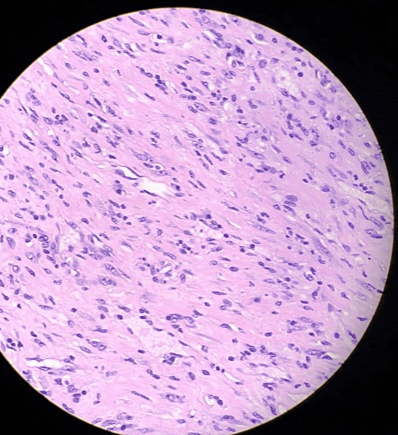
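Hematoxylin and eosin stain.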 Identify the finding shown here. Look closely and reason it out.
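Elongated cells run in parallel bundles in one diagonal direction.
Conclusion: fascicular proliferation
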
